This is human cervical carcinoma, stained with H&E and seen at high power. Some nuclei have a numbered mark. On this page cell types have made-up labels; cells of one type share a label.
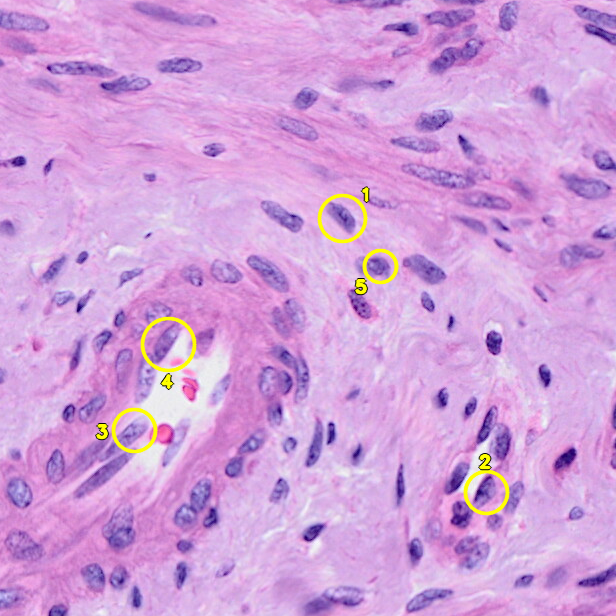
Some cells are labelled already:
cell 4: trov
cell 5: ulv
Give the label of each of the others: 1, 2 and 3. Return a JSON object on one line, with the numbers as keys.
{"1": "ulv", "2": "trov", "3": "trov"}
